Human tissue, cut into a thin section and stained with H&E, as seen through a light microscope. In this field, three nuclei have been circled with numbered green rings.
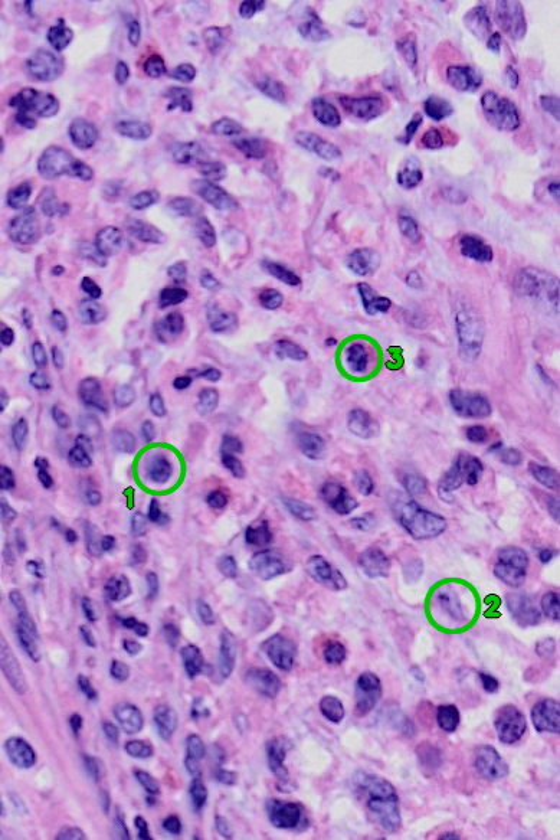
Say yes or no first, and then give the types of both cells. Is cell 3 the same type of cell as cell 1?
Yes, both are lymphocytes.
